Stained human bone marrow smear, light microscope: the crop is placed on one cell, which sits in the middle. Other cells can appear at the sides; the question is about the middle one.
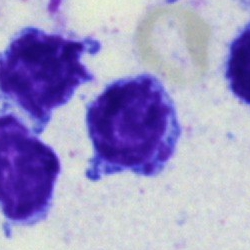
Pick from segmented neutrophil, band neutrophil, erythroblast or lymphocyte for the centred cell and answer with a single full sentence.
This crop is built around a lymphocyte at its centre.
